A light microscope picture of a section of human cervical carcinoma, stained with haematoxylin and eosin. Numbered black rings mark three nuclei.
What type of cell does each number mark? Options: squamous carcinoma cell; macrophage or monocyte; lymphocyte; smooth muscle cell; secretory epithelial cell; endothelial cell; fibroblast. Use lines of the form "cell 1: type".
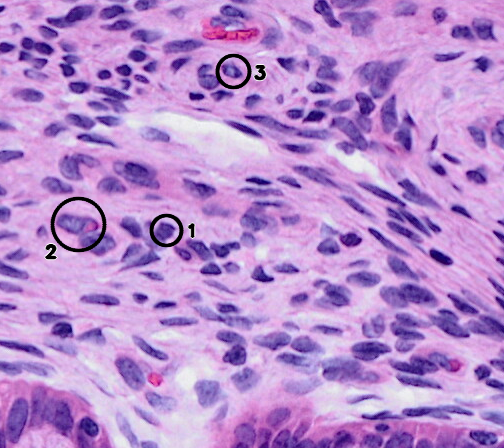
cell 1: fibroblast
cell 2: endothelial cell
cell 3: endothelial cell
